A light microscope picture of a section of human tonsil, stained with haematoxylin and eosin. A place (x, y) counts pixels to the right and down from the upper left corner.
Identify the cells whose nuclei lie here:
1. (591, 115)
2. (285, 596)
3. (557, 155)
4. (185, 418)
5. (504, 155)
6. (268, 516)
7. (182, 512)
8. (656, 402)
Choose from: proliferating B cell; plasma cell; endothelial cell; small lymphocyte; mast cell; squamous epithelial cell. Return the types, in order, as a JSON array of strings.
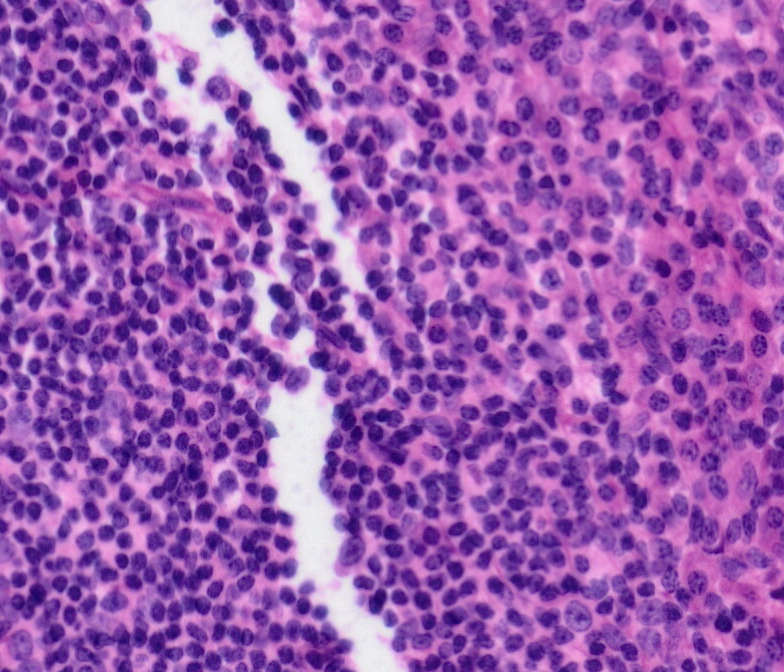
["plasma cell", "small lymphocyte", "plasma cell", "small lymphocyte", "plasma cell", "small lymphocyte", "small lymphocyte", "plasma cell"]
